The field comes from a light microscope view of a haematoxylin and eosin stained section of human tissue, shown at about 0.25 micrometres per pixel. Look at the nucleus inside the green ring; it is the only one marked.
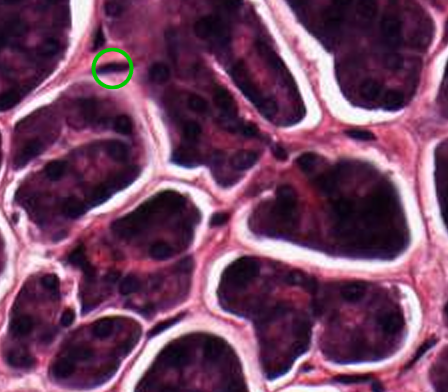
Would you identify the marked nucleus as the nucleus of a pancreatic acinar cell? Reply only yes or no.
no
